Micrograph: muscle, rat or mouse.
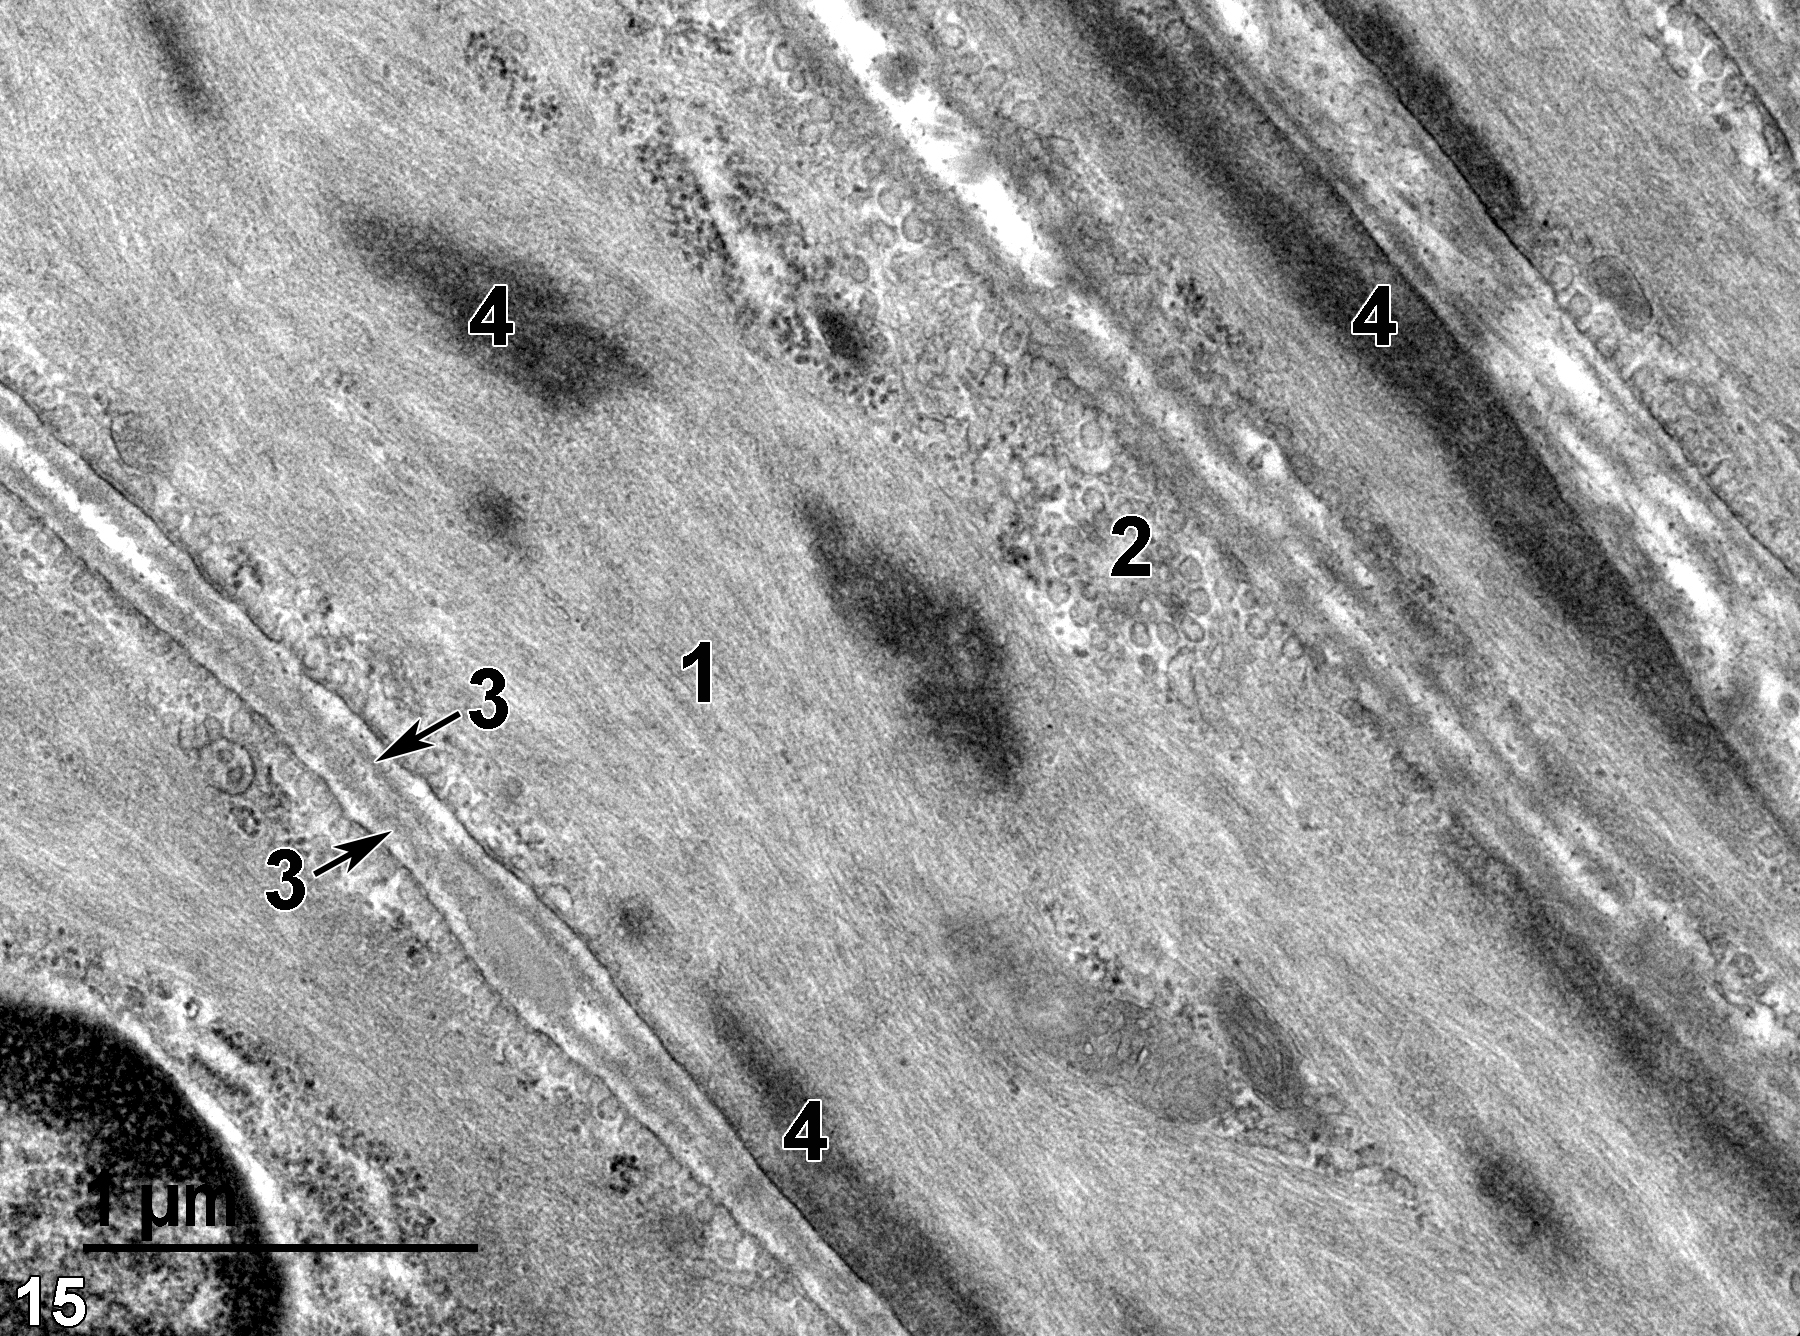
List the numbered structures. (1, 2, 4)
1. proteinaceous filaments
2. clusters of vesicles
4. cytoplasmic densities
